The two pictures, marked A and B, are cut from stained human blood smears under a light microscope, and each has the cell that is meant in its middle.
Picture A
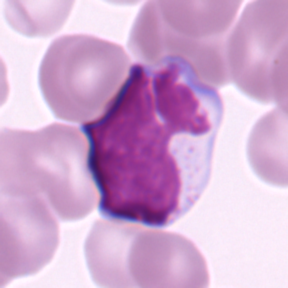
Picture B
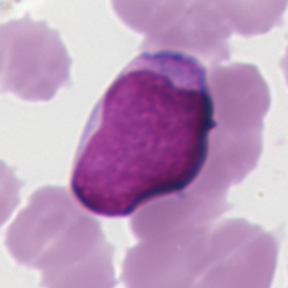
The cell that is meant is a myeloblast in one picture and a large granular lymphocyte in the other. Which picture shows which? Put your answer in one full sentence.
It is picture A that shows a large granular lymphocyte, and picture B that shows a myeloblast.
